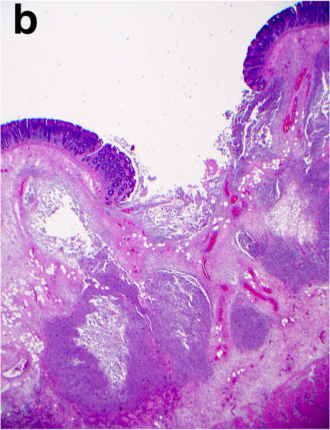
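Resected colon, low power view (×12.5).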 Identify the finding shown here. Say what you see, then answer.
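Abscess formation. Dense purple collections of inflammatory cells lie deep in the bowel wall. Some collections have pale, necrotic-looking centres. The mucosal surface between the preserved mucosa is lost.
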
